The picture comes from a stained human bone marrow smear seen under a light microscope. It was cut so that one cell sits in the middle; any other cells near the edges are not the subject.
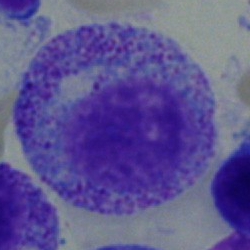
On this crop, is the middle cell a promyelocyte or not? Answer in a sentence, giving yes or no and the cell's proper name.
Yes, the cell that occupies the centre is a promyelocyte.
